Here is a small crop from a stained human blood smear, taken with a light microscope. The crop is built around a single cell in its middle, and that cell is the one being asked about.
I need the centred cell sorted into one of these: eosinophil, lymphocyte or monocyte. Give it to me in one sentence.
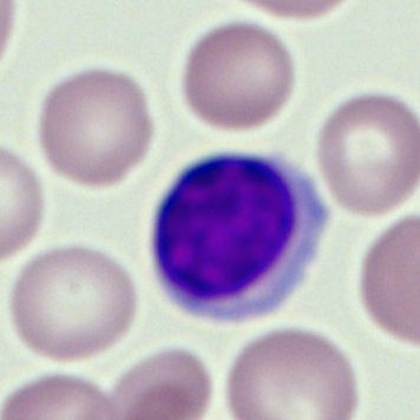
The cell in the middle of the field of view is a lymphocyte.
